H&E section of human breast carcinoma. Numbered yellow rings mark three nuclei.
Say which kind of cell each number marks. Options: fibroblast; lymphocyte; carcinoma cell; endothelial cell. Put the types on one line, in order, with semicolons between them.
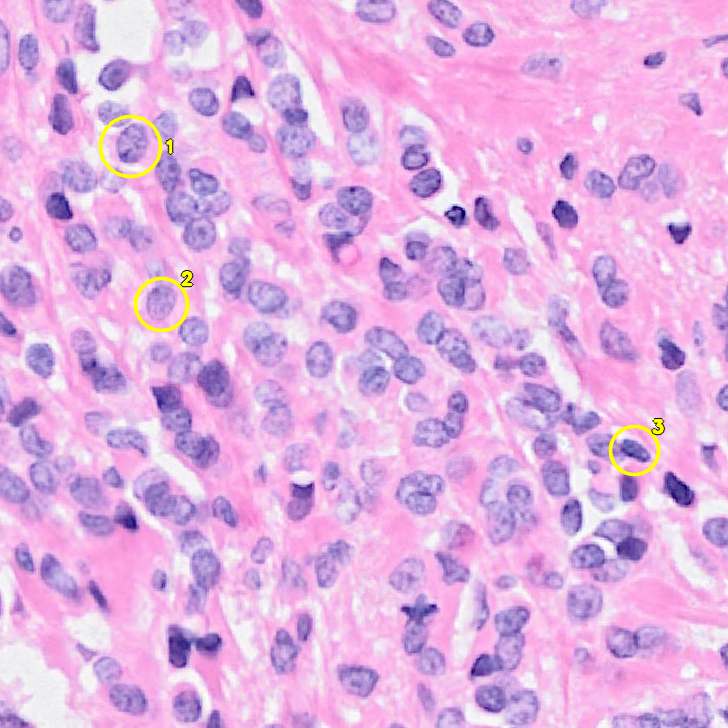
carcinoma cell; carcinoma cell; lymphocyte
